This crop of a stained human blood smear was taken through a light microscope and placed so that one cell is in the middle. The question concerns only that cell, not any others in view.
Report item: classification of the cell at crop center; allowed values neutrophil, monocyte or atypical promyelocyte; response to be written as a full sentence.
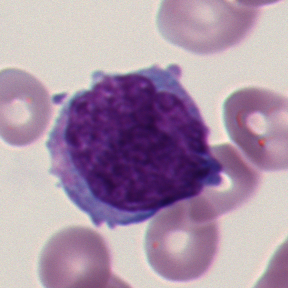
Framed in the middle of the crop is an atypical promyelocyte.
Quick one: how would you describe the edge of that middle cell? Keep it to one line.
The boundary of the cell runs irregularly, ragged in parts or drawn into projections.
